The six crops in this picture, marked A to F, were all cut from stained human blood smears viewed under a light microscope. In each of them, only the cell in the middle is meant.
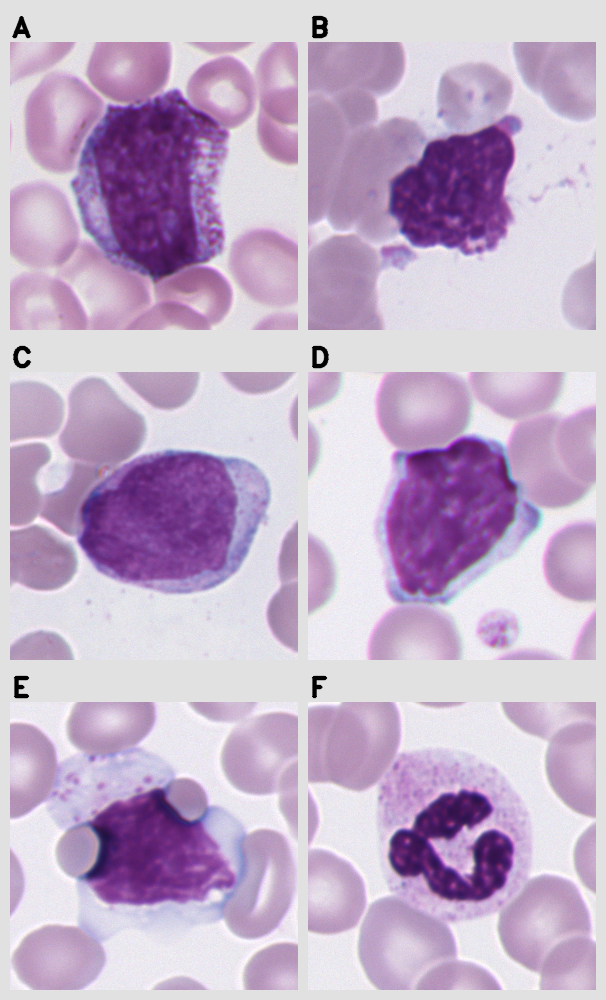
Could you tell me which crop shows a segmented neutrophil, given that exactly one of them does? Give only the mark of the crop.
F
